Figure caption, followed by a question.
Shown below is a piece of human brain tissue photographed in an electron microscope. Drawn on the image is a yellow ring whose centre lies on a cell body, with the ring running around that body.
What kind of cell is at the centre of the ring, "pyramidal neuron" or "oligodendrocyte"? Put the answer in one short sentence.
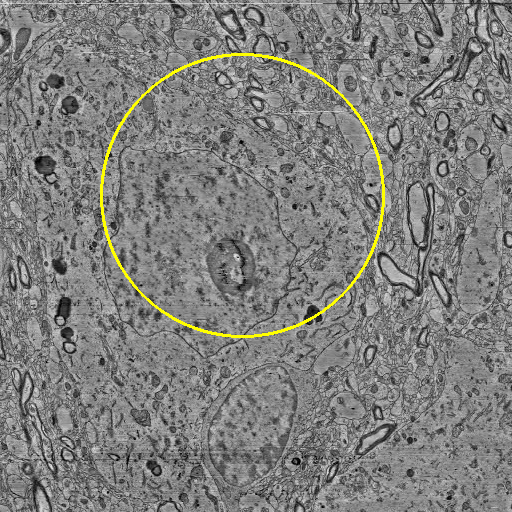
The ring marks the cell body of a pyramidal neuron.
